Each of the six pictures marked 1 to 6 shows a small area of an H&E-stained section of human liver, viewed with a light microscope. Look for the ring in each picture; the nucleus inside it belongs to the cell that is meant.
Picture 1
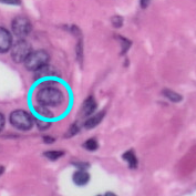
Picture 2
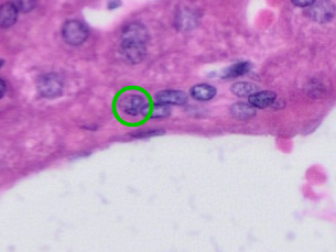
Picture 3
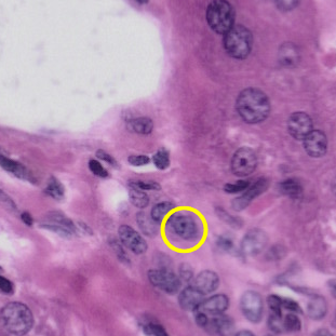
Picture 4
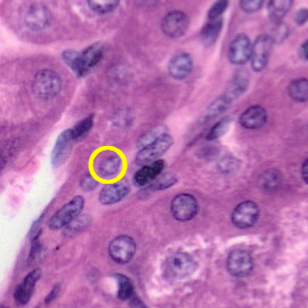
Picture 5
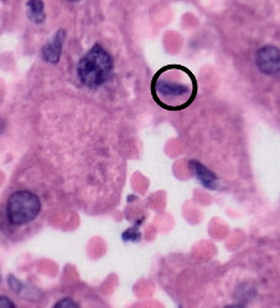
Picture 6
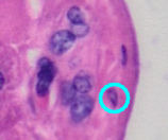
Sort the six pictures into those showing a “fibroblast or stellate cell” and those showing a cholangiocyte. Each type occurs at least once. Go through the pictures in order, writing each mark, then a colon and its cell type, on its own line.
1: cholangiocyte
2: cholangiocyte
3: cholangiocyte
4: cholangiocyte
5: fibroblast or stellate cell
6: fibroblast or stellate cell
